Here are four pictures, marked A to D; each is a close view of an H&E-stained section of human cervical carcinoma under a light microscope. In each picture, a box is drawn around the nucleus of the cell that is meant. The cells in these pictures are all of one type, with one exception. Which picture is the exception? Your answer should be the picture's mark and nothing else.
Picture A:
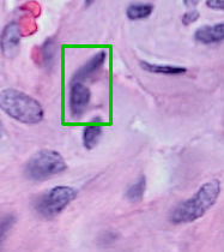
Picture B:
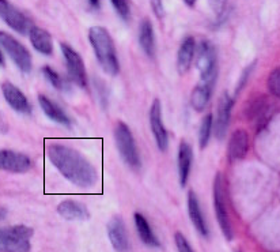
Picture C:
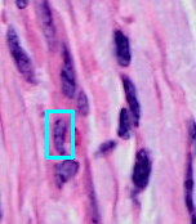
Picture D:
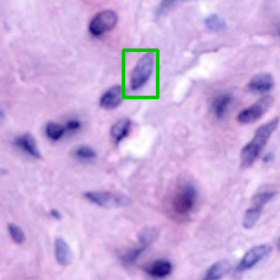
C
